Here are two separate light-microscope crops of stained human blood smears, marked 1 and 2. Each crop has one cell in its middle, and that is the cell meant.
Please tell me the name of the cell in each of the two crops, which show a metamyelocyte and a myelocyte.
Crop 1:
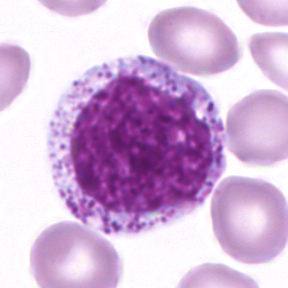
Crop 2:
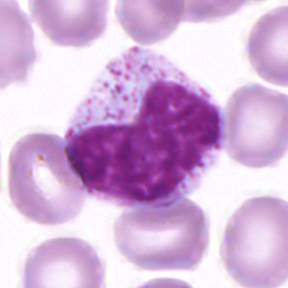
1: myelocyte
2: metamyelocyte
